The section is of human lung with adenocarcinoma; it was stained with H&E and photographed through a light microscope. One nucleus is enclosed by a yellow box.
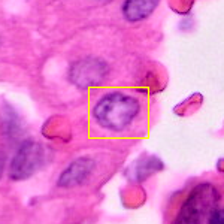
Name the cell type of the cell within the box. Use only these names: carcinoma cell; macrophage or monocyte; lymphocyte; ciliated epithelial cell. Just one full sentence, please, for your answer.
Cytologically, the cell within the box is to be regarded as a macrophage or monocyte.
